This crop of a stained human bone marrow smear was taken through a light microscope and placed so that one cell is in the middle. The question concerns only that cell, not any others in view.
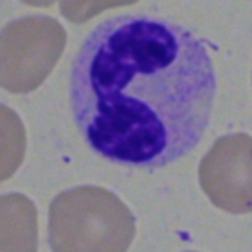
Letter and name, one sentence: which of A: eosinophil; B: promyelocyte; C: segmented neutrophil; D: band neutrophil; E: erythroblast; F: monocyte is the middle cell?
Seen at the centre of the crop is a band neutrophil, so option D is correct.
